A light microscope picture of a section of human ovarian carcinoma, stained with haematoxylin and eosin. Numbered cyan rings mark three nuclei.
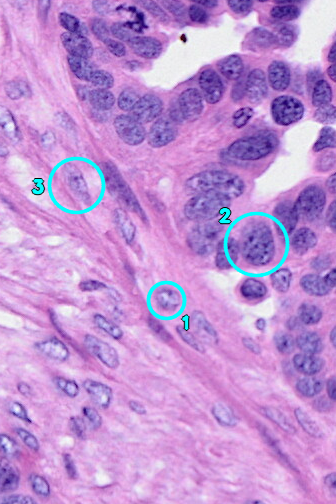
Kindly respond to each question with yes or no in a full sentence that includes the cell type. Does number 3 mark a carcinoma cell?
No, cell 3 is not a carcinoma cell; a fibroblast is correct.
